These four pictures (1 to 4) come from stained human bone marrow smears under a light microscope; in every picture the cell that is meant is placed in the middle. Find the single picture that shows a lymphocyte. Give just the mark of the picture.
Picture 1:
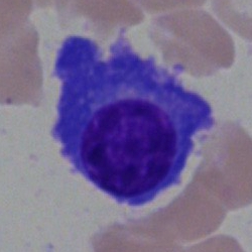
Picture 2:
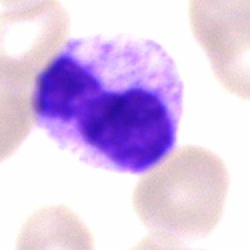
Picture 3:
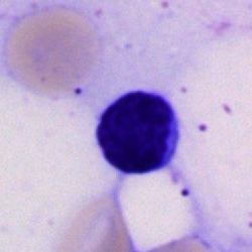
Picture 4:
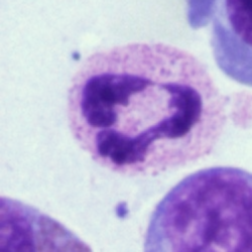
3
